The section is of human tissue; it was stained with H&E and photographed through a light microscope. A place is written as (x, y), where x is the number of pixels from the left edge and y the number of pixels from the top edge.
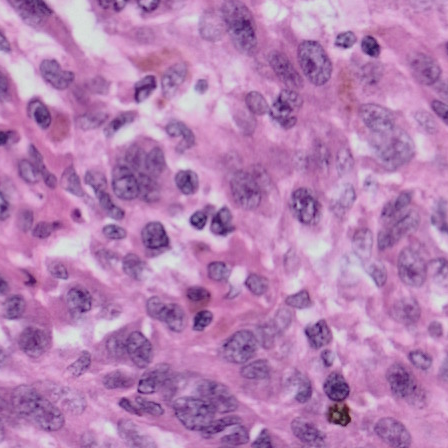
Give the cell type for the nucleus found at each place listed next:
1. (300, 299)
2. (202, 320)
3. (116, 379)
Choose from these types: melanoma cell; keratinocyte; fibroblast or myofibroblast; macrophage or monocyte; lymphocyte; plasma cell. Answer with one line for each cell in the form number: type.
1: macrophage or monocyte
2: lymphocyte
3: melanoma cell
